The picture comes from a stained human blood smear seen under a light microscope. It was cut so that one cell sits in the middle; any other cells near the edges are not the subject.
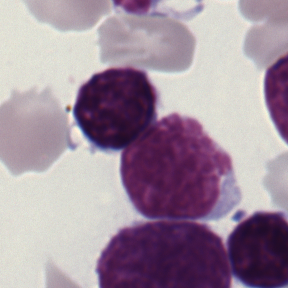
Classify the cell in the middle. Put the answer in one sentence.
The crop's centre is taken up by a myeloblast.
